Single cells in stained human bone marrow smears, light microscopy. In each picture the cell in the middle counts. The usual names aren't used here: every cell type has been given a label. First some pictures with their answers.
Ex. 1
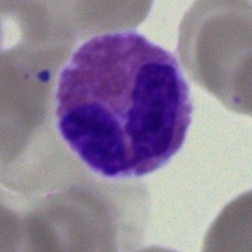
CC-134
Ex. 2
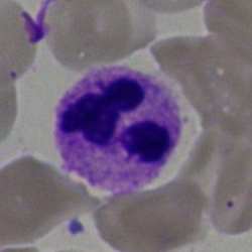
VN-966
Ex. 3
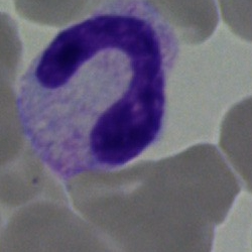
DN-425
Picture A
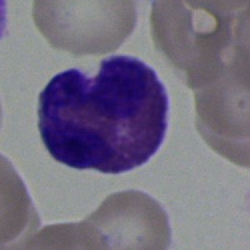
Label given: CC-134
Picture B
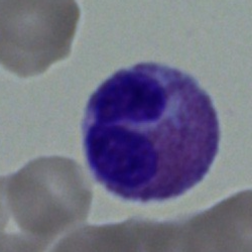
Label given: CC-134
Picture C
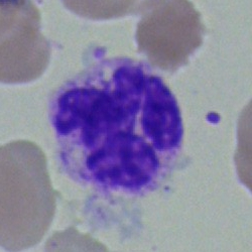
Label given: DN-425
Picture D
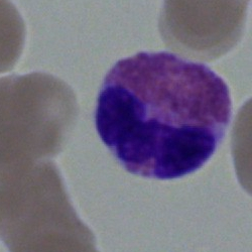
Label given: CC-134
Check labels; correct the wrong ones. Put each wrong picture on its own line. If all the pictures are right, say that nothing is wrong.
C: not DN-425 but VN-966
